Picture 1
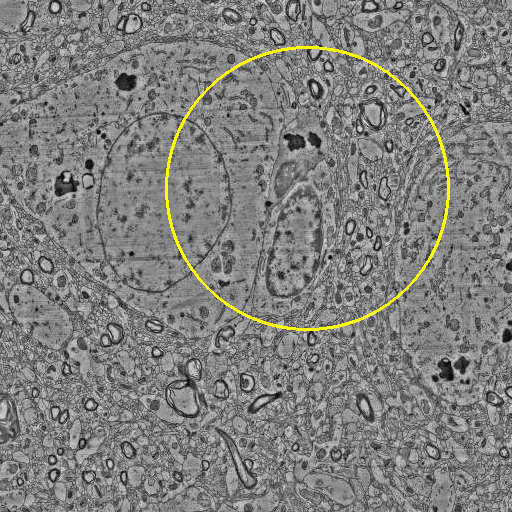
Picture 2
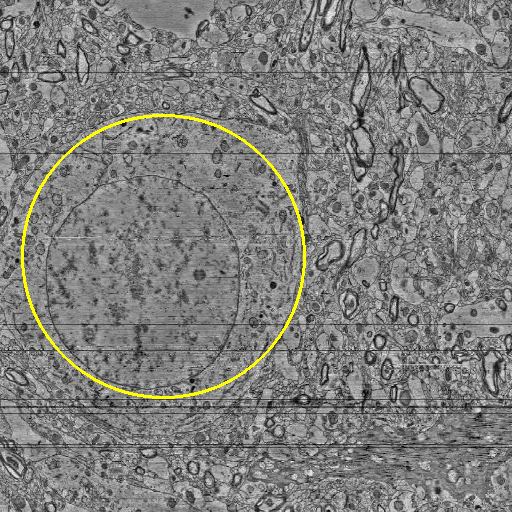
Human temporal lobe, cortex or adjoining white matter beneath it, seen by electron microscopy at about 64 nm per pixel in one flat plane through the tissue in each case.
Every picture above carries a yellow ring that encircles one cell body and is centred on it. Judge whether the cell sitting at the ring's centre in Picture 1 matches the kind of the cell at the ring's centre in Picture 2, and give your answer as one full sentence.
No, the cells centred in the rings of Pictures 1 and 2 belong to two kinds.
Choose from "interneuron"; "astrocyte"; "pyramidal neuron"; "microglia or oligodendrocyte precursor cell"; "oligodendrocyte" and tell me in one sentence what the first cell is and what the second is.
What the first ring is centred on is an oligodendrocyte; what the second ring is centred on is a pyramidal neuron.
